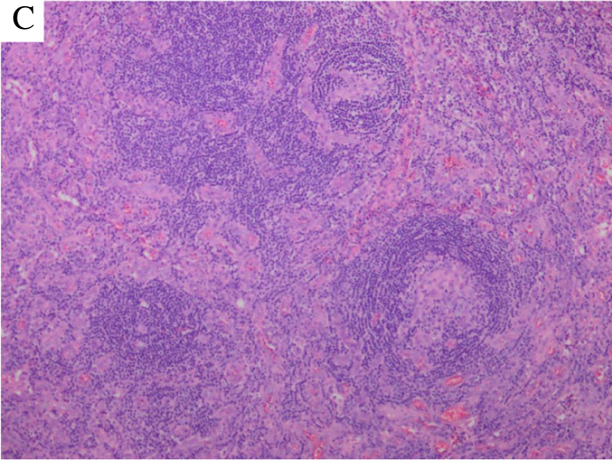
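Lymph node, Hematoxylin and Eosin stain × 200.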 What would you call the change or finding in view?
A: atrophic germinal centers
